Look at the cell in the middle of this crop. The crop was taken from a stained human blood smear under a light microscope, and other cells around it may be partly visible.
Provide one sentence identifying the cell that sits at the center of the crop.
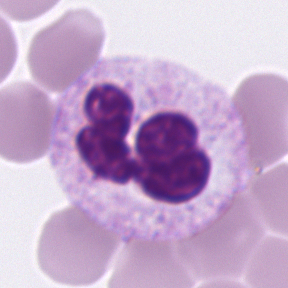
What the crop centres on is a neutrophil.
